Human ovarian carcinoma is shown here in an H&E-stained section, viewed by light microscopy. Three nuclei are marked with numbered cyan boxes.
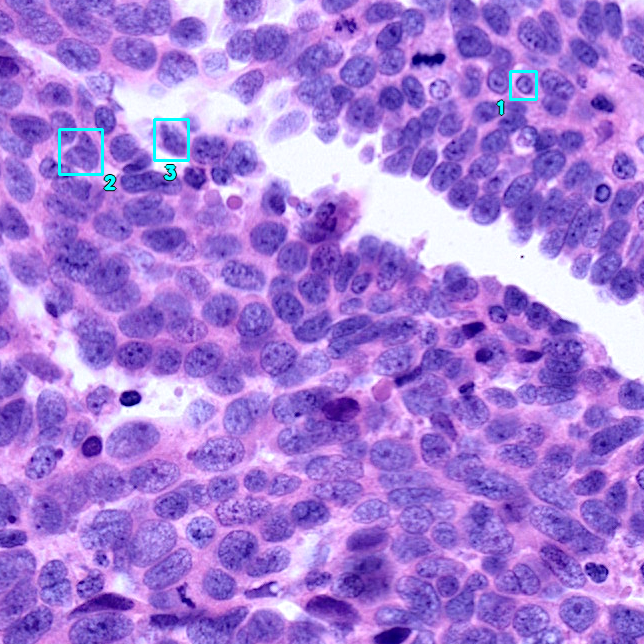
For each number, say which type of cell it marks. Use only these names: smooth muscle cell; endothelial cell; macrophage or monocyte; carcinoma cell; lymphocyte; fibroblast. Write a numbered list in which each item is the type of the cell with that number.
1. macrophage or monocyte
2. carcinoma cell
3. carcinoma cell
